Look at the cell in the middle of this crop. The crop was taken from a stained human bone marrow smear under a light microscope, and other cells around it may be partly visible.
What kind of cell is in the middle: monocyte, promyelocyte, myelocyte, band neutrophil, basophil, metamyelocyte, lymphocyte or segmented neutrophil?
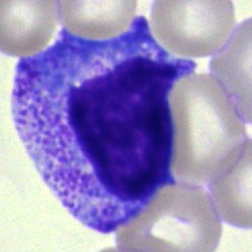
promyelocyte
